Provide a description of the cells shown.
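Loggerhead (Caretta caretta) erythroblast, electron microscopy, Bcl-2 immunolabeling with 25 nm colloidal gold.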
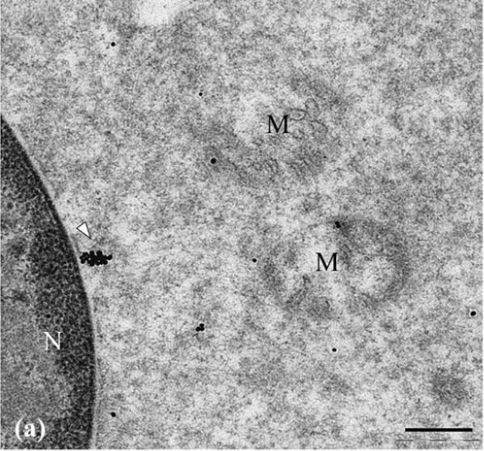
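The nucleus is dark with dense chromatin and a smooth curved border. The mitochondria are rounded to oval, with faint folded inner membranes. A tight cluster of black gold particles sits right at the nuclear border, marked by a white arrowhead, while single particles are scattered over the mitochondria and through the cytoplasm.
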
